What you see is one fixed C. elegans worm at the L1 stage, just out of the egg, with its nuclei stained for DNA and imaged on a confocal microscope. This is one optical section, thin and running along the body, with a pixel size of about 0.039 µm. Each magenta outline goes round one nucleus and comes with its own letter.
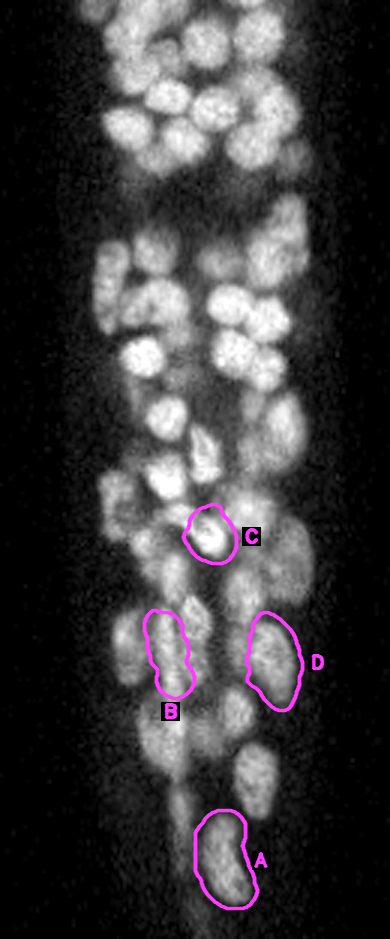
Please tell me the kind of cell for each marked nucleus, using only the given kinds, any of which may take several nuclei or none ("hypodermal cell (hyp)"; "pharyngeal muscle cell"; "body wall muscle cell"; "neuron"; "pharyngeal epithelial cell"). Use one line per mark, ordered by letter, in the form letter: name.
A: hypodermal cell (hyp)
B: pharyngeal epithelial cell
C: pharyngeal muscle cell
D: body wall muscle cell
